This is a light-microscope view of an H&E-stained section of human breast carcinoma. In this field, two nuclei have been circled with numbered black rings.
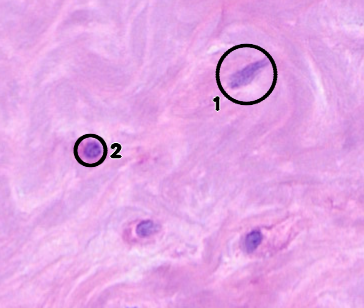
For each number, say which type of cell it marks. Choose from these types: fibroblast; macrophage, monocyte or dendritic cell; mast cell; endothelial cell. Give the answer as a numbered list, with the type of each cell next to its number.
1. fibroblast
2. mast cell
